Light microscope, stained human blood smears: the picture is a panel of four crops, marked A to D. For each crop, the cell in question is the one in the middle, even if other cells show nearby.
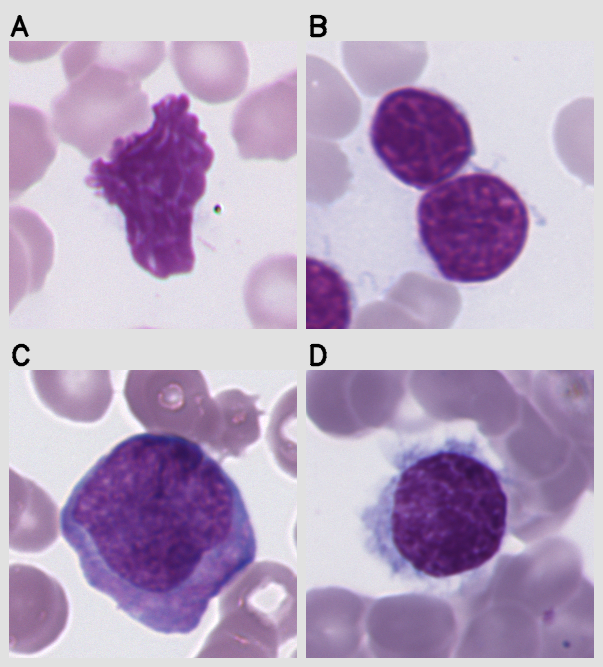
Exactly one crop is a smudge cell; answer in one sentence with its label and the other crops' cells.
The cell of interest in crop A is a smudge cell, and crop B is a myeloblast, crop C is an atypical promyelocyte and crop D is a hairy cell.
